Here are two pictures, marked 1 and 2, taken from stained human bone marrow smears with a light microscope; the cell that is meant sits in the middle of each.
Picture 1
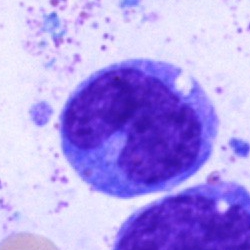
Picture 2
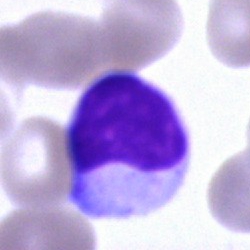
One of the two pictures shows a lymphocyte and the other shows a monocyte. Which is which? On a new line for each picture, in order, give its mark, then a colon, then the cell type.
1: monocyte
2: lymphocyte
